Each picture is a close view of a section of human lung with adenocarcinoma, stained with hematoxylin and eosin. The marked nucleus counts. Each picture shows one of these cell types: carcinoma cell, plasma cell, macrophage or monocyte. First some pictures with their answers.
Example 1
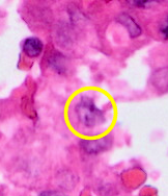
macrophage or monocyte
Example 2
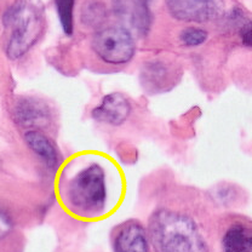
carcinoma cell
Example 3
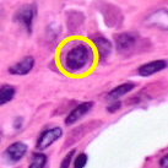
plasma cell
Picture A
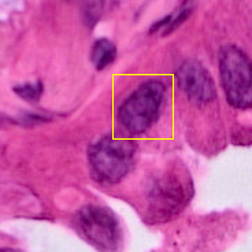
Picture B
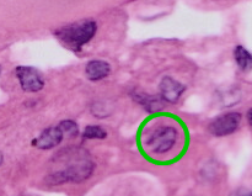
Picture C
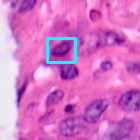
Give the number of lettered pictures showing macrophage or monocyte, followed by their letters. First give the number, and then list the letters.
Count: 1 (B)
